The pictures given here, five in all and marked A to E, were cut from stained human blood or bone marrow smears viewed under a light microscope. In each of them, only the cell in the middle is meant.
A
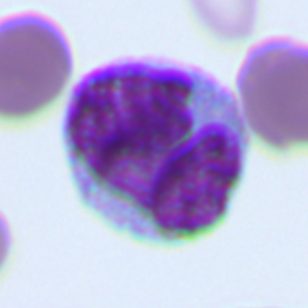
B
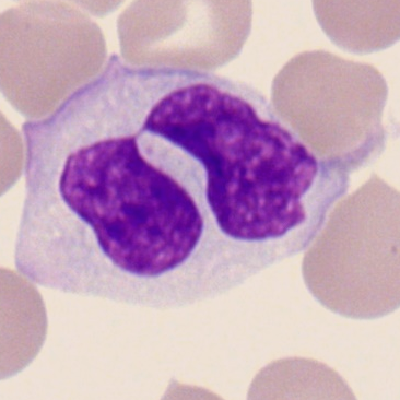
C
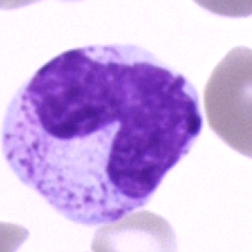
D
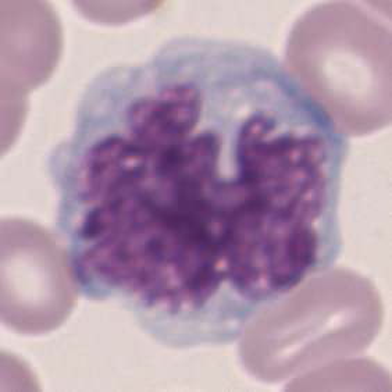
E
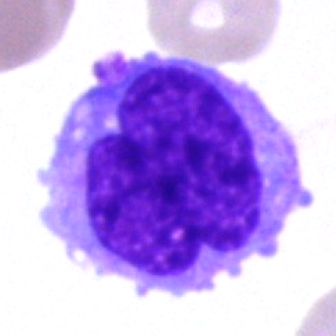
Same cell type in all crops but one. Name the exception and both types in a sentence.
For this set, crop C is a band neutrophil, and all the rest are monocytes.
